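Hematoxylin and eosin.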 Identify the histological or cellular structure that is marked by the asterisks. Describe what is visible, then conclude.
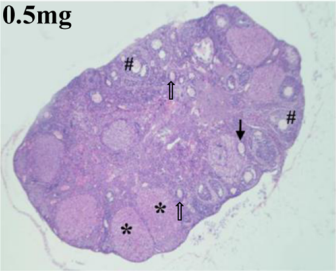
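The marked structures are large, solid, rounded bodies. They stain pale pink and lack any central cavity.
Answer: corpora lutea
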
